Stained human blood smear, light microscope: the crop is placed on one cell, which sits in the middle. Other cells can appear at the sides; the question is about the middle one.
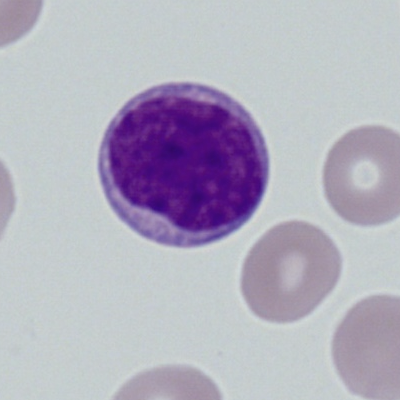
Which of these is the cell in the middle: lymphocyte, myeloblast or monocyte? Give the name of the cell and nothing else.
lymphocyte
